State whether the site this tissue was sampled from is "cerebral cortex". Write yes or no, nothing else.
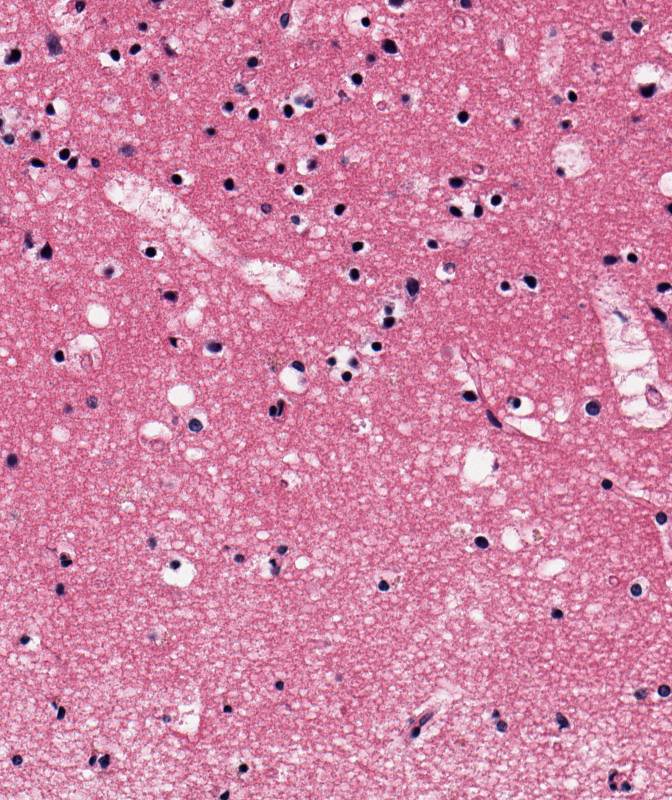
yes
